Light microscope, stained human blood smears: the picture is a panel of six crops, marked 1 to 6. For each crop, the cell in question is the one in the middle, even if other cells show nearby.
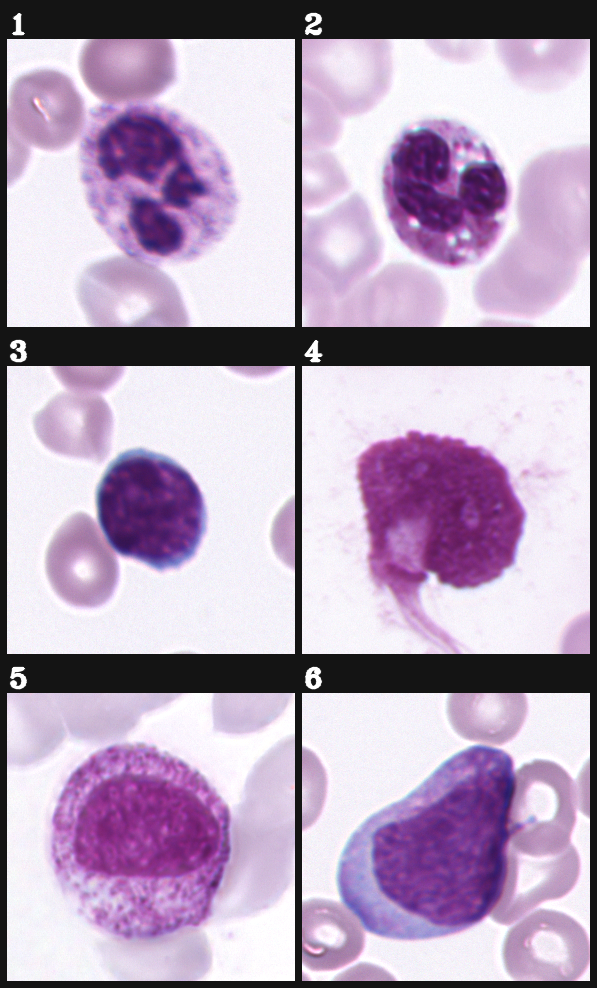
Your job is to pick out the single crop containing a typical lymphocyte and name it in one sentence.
Of the labelled crops, the one that shows a typical lymphocyte is crop 3.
